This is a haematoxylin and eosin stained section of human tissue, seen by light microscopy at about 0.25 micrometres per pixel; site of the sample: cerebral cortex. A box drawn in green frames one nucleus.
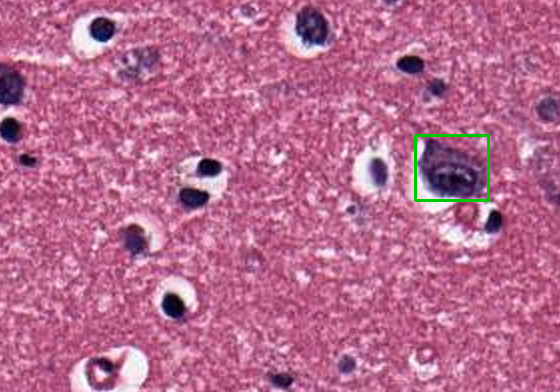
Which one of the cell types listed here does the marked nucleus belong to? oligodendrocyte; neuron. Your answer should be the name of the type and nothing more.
neuron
